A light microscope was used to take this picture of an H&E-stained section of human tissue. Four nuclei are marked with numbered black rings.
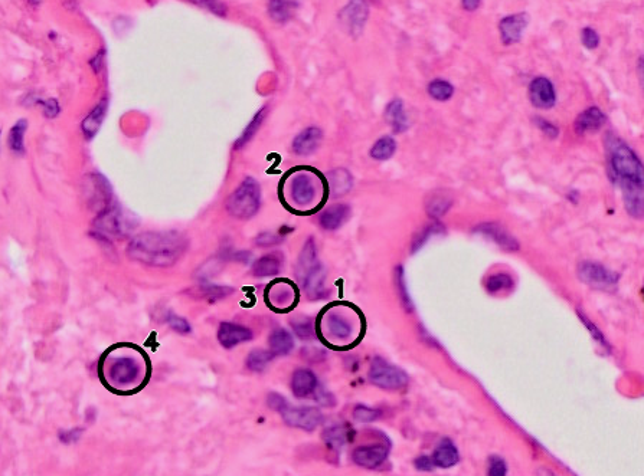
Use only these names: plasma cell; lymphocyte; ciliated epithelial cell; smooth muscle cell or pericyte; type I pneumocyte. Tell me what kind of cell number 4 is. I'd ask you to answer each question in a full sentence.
Cell 4, as marked in the section, is a plasma cell.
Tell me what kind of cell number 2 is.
In this section, the cell tagged 2 is a lymphocyte.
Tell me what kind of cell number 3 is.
Numbered cell 3 is a plasma cell in this tissue section.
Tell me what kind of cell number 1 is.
The cell pointed out as number 1 is a lymphocyte.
